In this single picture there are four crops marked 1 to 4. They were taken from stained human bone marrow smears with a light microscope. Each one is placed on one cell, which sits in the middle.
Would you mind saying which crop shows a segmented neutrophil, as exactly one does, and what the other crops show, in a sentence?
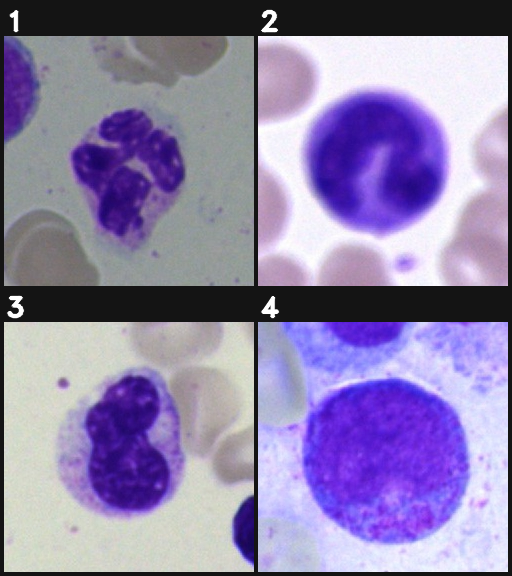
Crop 1 has a segmented neutrophil as its central cell, while crop 2 is a monocyte, crop 3 is a band neutrophil and crop 4 is a promyelocyte.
